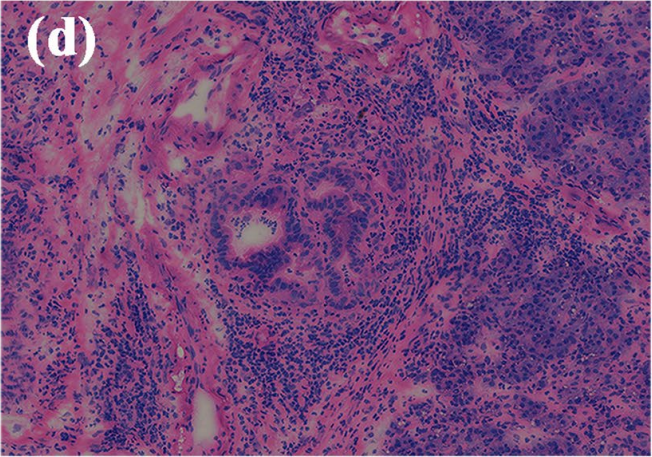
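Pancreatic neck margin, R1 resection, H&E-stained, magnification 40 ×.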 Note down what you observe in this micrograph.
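Pink fibrous stroma with scattered spindle-shaped nuclei and small vessel-like spaces fills the left part of the field. Further clusters of larger, paler purple cells lie at the right edge.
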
